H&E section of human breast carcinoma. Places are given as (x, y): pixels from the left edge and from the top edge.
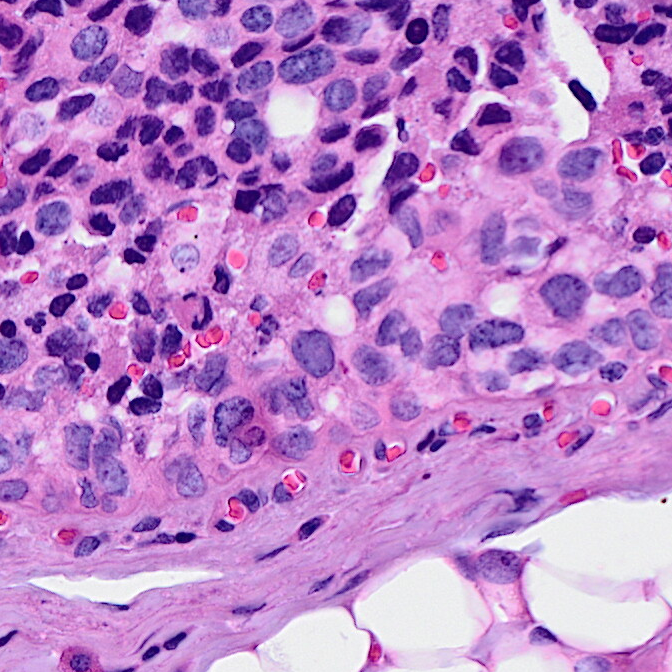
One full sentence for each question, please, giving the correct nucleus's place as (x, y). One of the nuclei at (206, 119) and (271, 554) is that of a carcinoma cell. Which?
The nucleus lying at (206, 119) is the nucleus of a carcinoma cell.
